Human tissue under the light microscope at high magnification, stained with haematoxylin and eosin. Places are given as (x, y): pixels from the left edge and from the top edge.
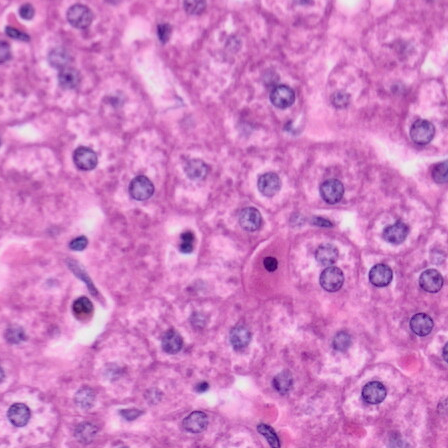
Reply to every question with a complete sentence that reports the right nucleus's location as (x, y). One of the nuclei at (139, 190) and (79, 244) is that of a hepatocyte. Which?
Of the pair, the nucleus positioned at (139, 190) is that of a hepatocyte.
